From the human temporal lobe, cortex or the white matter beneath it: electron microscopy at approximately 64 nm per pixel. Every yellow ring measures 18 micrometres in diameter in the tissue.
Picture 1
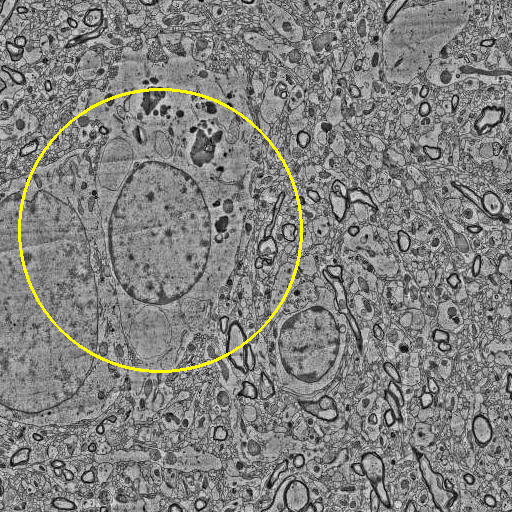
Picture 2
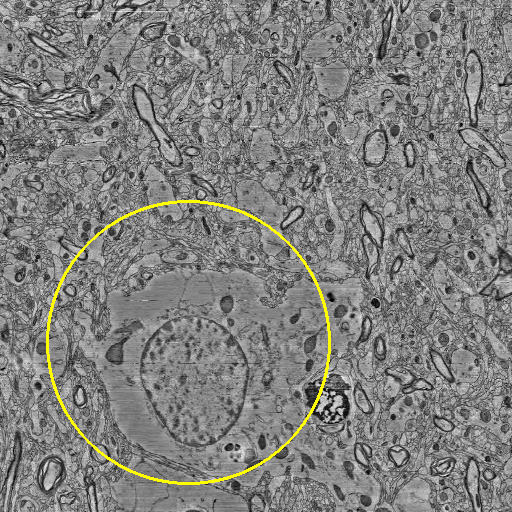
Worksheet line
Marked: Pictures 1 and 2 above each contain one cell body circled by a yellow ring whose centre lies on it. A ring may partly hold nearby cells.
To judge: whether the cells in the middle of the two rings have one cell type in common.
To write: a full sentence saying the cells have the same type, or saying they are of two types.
The cells in the middle of the rings in Picture 1 and Picture 2 have the same type.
